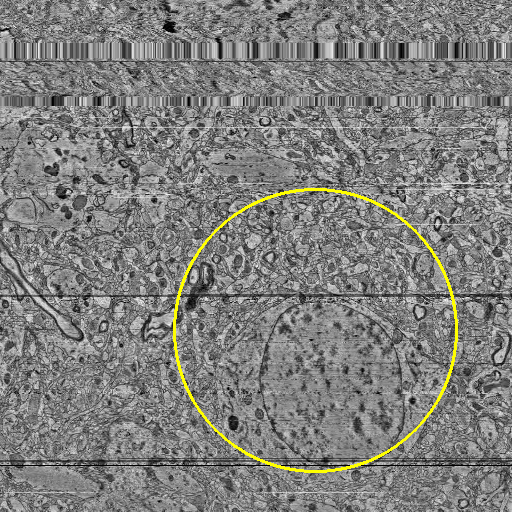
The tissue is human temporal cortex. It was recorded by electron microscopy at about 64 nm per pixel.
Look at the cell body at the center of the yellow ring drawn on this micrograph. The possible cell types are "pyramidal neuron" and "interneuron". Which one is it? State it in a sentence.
The cell in the middle of the ring is a pyramidal neuron.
